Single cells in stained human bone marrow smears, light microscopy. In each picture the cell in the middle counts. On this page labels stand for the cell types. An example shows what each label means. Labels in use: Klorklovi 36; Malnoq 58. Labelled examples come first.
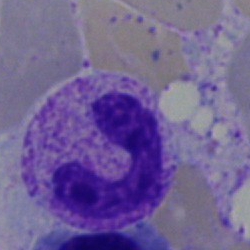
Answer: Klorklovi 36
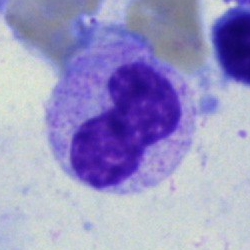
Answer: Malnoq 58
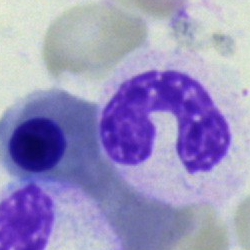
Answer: Klorklovi 36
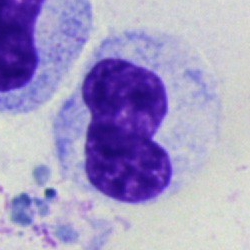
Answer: Malnoq 58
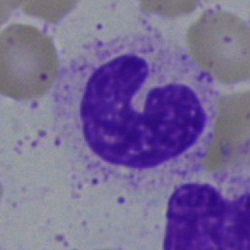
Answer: Malnoq 58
